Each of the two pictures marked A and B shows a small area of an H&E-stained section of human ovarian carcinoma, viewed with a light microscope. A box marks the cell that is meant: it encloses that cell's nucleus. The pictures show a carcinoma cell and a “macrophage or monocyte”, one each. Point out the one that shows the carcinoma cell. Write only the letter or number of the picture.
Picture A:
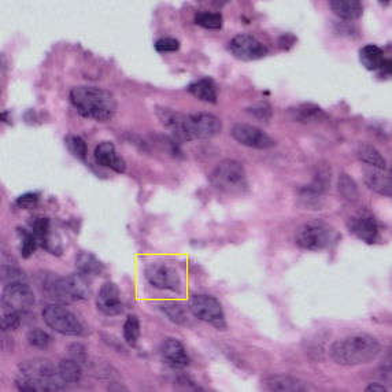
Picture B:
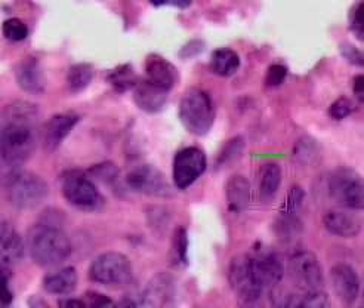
B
